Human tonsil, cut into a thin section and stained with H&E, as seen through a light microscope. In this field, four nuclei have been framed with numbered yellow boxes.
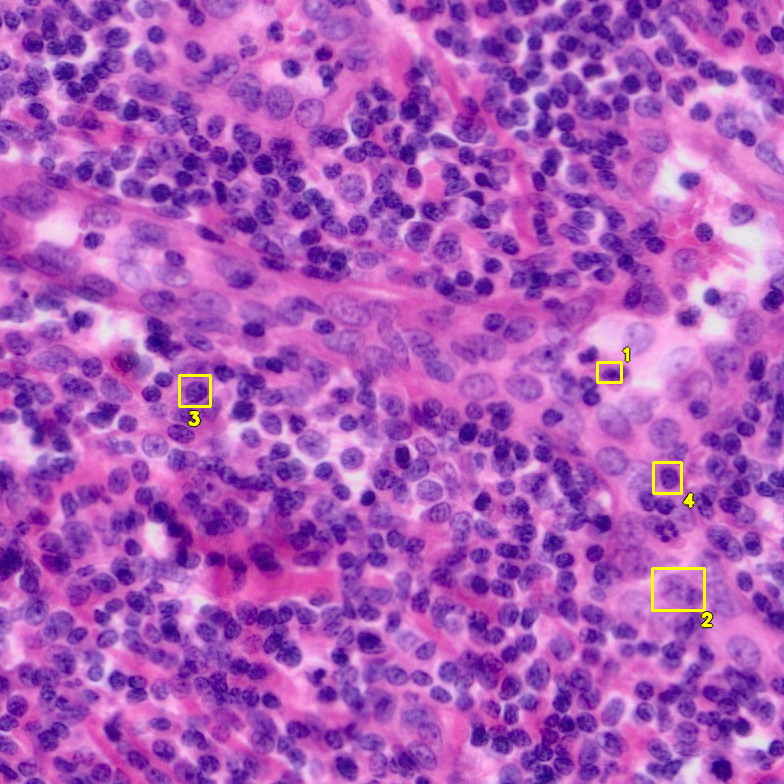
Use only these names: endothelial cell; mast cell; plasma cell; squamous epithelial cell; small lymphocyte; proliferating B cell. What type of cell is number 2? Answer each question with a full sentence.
The cell to which the number 2 is assigned is an endothelial cell.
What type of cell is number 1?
The nucleus with number 1 is that of an endothelial cell.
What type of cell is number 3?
Cell number 3 in this section is a plasma cell.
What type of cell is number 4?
As for number 4, that cell is an endothelial cell.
